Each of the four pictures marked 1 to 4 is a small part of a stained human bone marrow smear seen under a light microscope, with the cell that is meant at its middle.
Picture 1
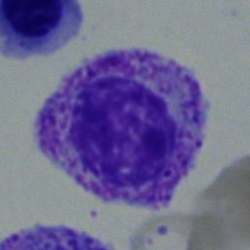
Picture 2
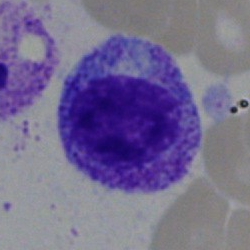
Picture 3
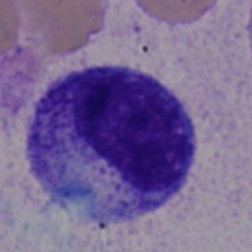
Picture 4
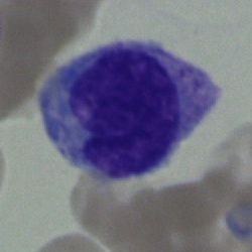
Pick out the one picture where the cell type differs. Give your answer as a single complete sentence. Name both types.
Picture 4 differs, because its cell is a monocyte and the rest are myelocytes.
